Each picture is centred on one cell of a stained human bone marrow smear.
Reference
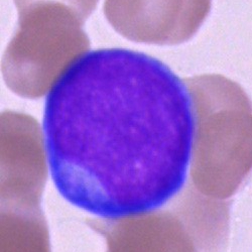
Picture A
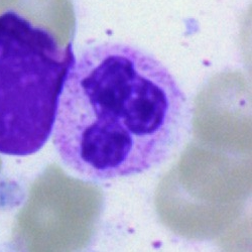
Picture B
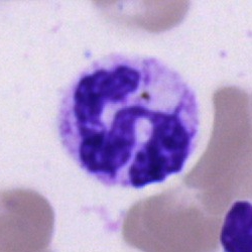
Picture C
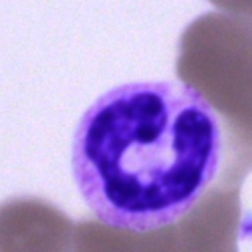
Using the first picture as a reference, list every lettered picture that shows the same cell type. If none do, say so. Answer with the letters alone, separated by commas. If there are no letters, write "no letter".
no letter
